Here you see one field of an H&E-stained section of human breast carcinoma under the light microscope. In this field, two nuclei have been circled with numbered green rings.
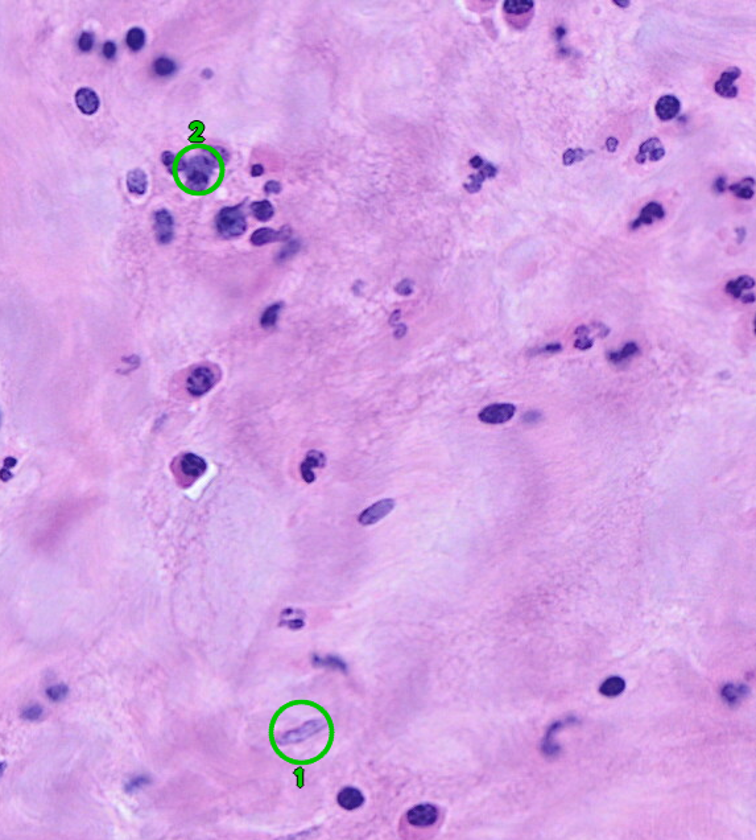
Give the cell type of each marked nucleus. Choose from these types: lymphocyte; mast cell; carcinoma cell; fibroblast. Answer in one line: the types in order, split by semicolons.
fibroblast; lymphocyte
